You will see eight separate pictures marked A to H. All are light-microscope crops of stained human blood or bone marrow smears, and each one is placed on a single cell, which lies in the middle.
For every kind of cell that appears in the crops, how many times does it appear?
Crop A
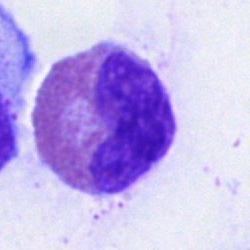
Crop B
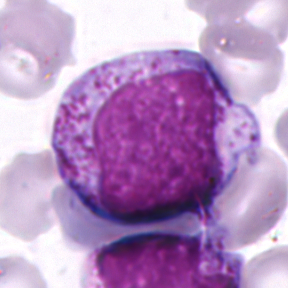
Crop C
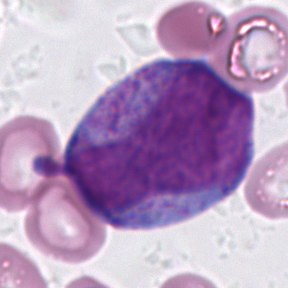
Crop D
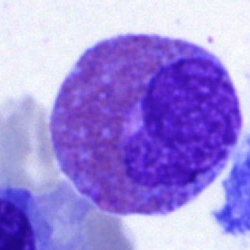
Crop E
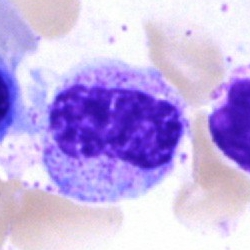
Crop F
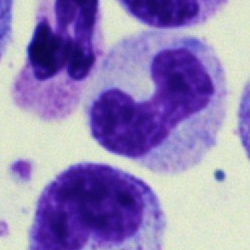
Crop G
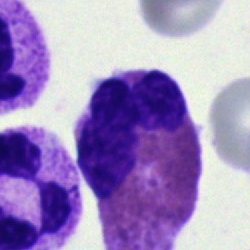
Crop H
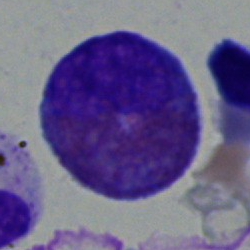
eosinophil: 4
promyelocyte: 2
band neutrophil: 2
